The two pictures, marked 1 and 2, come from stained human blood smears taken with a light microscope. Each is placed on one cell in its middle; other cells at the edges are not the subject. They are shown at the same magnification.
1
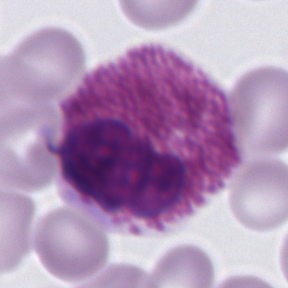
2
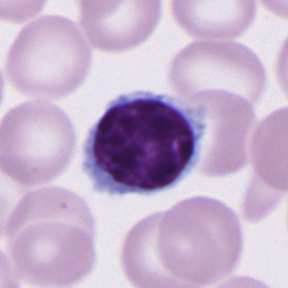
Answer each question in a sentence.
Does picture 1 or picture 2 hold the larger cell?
Larger is the cell in picture 1, at roughly 2.5 times the area of the other.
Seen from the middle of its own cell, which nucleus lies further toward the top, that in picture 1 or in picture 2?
In picture 2 the nucleus is shifted more toward the top.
